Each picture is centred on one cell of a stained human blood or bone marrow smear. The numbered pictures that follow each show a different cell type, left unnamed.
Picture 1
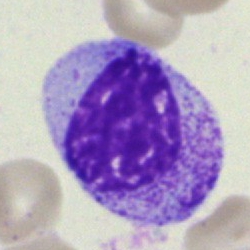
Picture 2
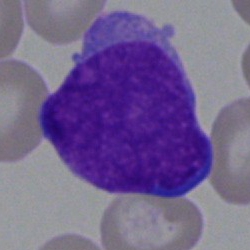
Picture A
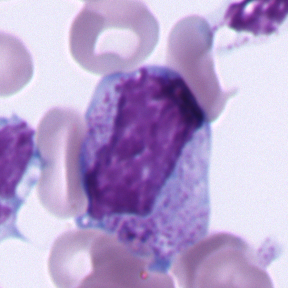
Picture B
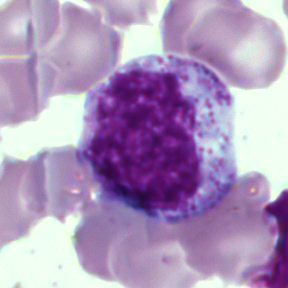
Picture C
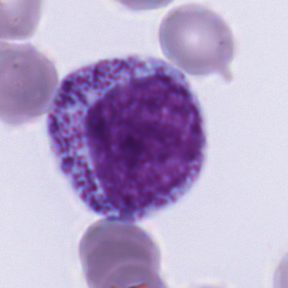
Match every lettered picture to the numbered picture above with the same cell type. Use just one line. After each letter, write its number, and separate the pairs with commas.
A 1, B 1, C 1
